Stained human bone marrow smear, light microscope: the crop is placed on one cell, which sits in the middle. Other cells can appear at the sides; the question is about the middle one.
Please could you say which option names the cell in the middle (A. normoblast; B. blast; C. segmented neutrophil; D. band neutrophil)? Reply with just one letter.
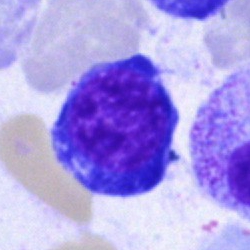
A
